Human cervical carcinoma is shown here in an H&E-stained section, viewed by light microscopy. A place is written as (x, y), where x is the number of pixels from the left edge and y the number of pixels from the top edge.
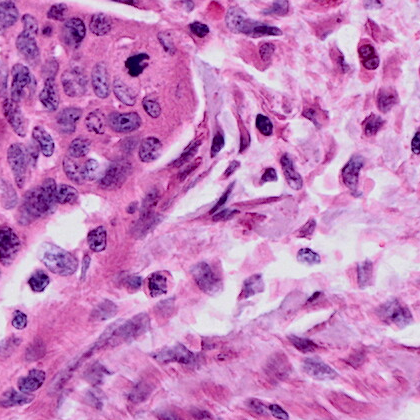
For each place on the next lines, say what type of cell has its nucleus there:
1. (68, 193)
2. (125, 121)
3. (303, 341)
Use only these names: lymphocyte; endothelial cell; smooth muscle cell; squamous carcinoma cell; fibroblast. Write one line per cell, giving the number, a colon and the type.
1: squamous carcinoma cell
2: squamous carcinoma cell
3: fibroblast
